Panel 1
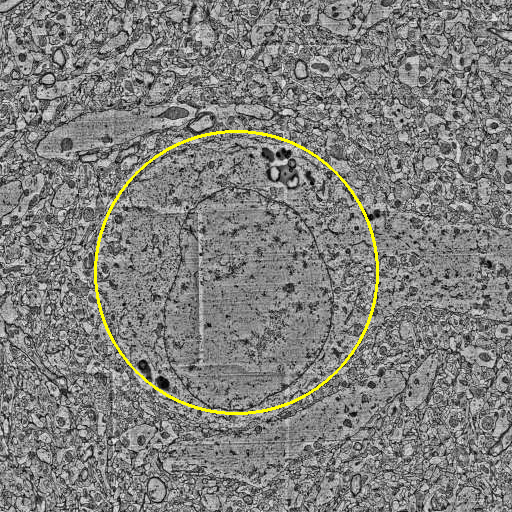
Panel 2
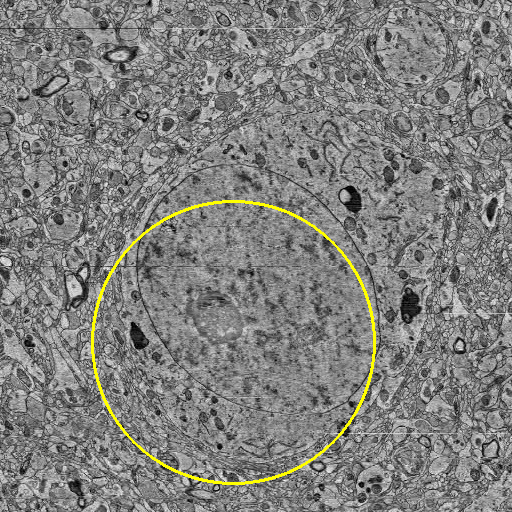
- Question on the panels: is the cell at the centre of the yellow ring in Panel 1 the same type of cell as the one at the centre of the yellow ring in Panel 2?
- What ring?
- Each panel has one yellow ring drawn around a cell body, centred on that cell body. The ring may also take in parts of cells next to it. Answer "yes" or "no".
yes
